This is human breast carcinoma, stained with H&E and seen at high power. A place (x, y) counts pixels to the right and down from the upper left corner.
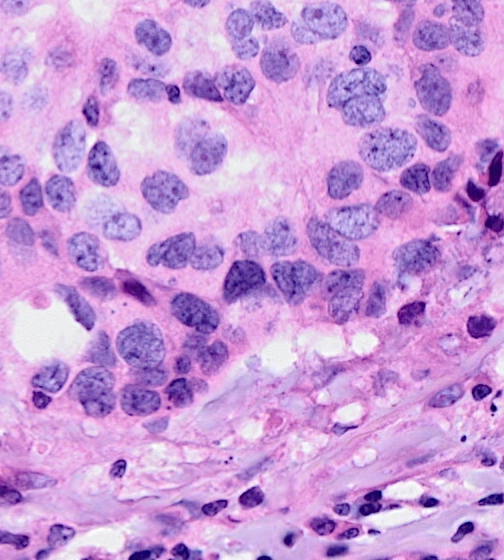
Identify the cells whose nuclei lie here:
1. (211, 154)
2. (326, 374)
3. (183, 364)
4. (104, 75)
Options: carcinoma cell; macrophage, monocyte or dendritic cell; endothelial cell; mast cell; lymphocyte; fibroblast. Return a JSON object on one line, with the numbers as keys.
{"1": "carcinoma cell", "2": "fibroblast", "3": "carcinoma cell", "4": "carcinoma cell"}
